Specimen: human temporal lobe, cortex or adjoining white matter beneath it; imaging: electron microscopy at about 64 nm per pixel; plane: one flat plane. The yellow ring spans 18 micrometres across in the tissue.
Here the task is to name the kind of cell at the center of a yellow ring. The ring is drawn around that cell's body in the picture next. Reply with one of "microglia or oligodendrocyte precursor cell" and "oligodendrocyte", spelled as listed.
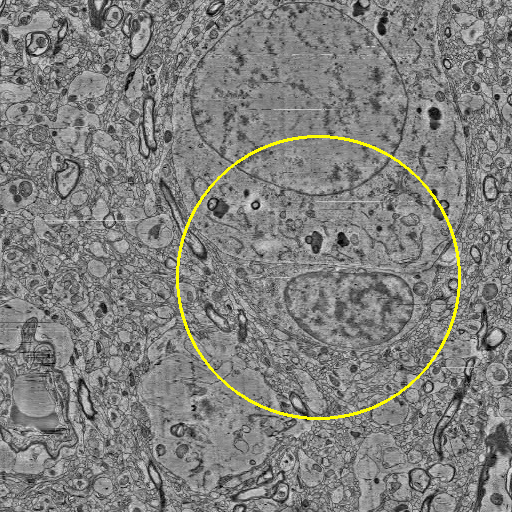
oligodendrocyte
